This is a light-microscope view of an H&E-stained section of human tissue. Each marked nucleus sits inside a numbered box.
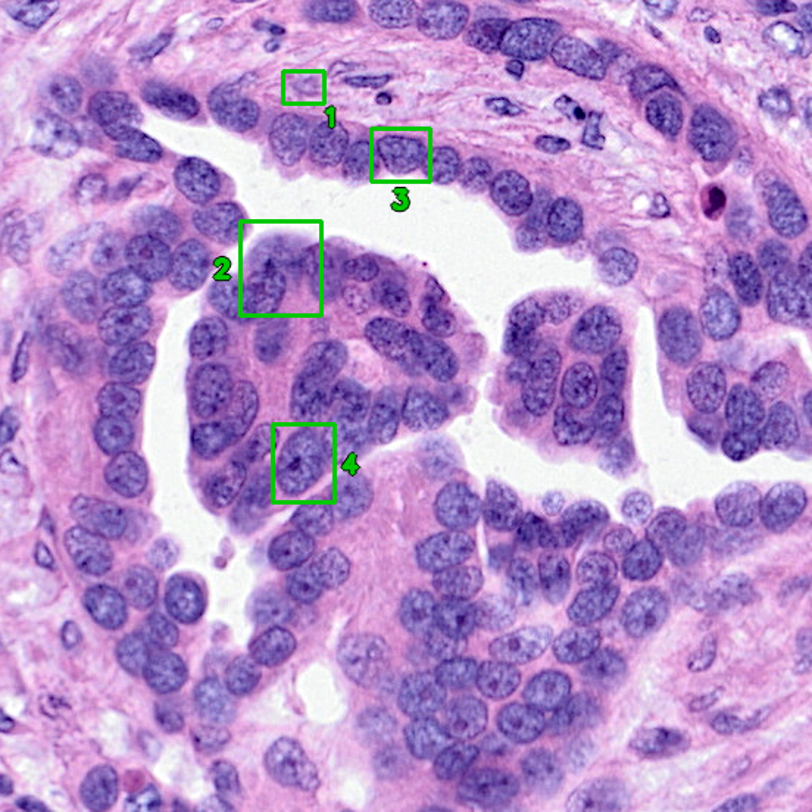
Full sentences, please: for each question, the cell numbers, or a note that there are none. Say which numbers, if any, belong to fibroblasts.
Among the labelled cells, only the cell labelled 1 is a fibroblast.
